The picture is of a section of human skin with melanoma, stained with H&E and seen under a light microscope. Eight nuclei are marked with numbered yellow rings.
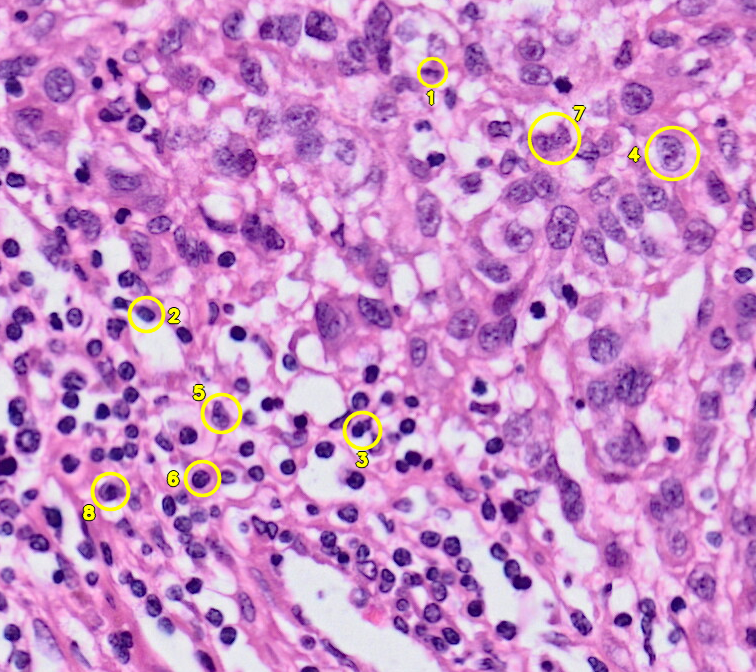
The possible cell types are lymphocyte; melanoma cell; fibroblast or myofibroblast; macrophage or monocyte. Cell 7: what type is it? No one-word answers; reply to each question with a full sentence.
The cell referred to as 7 is a melanoma cell.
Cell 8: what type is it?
The nucleus labeled 8 belongs to a lymphocyte.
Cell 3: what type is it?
Number 3 is placed on a lymphocyte here.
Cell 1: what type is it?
The label 1 in this section denotes a melanoma cell.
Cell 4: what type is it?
The mark numbered 4 indicates the nucleus of a melanoma cell.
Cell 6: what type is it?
To a lymphocyte belongs the nucleus marked 6.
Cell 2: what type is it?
Number 2 is placed on a lymphocyte here.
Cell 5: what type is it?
Of the numbered cells, the one labelled 5 is a macrophage or monocyte.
